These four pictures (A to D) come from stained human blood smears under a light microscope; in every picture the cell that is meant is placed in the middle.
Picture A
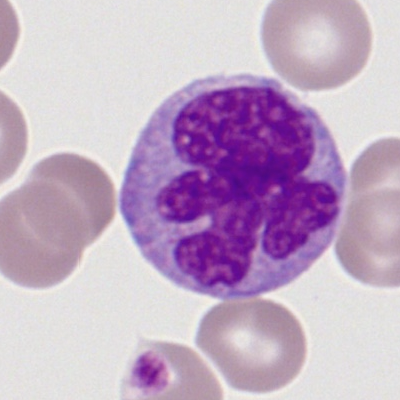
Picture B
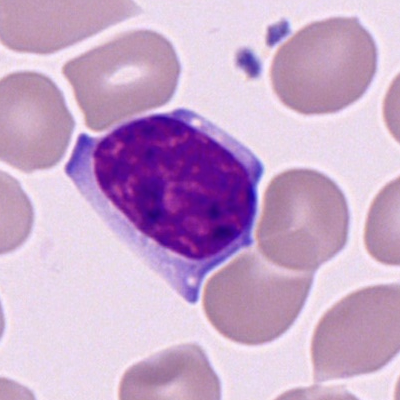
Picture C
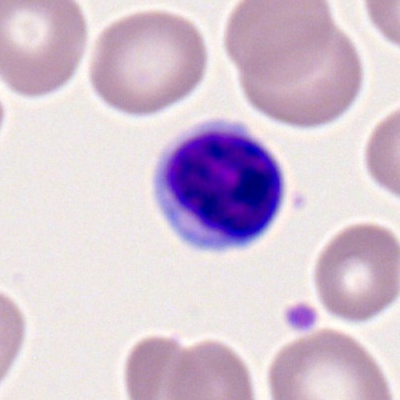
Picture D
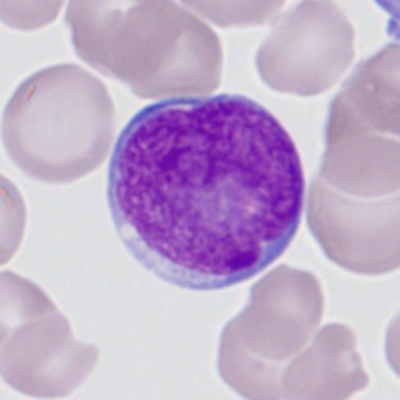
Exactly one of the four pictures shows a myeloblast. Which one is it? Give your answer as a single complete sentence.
The picture with the myeloblast is D.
